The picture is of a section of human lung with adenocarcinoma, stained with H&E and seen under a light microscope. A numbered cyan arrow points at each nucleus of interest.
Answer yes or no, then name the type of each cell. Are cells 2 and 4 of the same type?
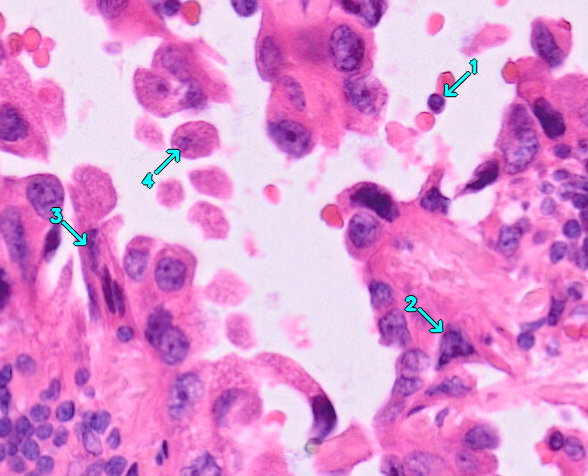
Yes, the two numbered cells, 2 and 4, are both carcinoma cells.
